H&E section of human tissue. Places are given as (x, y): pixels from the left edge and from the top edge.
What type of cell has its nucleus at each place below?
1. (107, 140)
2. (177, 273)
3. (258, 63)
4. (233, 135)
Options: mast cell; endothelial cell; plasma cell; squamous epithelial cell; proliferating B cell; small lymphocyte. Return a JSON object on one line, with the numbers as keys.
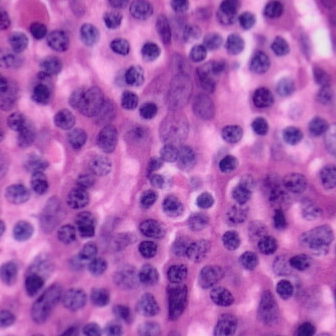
{"1": "squamous epithelial cell", "2": "plasma cell", "3": "plasma cell", "4": "plasma cell"}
